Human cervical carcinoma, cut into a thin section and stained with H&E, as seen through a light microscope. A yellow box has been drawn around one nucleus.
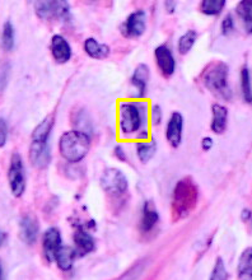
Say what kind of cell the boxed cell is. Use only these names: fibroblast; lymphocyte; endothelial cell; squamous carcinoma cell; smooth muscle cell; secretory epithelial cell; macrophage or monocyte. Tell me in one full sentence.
To be brief about it, the boxed cell is a lymphocyte.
